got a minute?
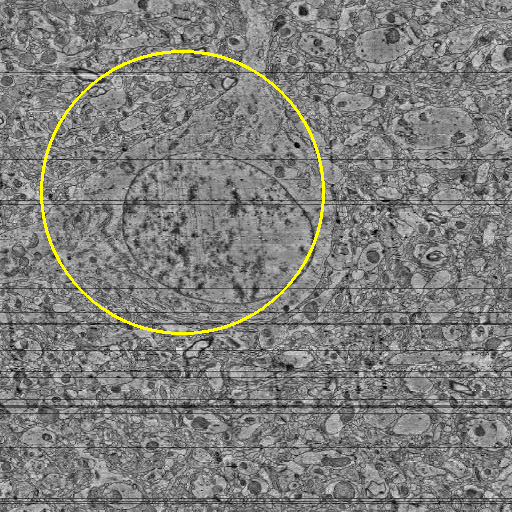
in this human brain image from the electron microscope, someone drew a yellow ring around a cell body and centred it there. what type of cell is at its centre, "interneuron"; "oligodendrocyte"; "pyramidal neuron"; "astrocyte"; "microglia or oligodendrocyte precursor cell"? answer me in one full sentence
It's a pyramidal neuron at the middle of that yellow ring in the shot.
